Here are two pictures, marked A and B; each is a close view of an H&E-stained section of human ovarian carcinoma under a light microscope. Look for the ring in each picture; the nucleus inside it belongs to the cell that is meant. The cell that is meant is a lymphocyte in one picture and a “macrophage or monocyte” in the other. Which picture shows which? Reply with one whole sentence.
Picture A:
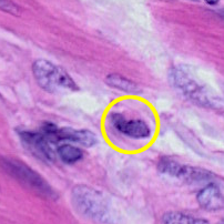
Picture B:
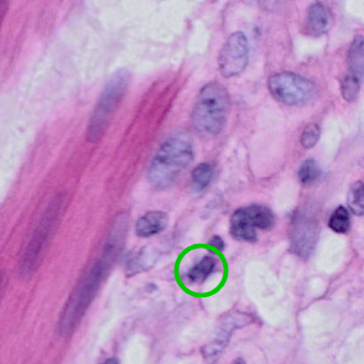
In picture A the cell is a “macrophage or monocyte”; in picture B, a lymphocyte.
